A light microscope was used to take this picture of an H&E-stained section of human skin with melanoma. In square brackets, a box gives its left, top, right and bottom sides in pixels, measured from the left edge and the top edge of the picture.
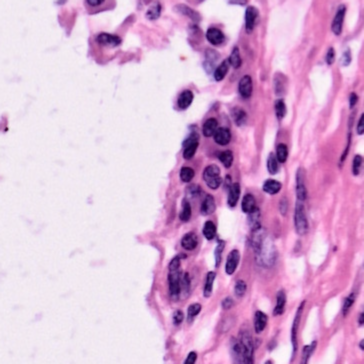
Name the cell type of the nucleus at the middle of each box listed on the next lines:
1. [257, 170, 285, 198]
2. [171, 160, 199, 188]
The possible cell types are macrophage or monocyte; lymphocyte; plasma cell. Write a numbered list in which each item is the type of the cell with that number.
1. lymphocyte
2. plasma cell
